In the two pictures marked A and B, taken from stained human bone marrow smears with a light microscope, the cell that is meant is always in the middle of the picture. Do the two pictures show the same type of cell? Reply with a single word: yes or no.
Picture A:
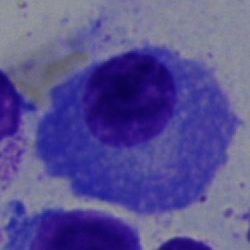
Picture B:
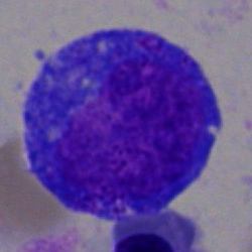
no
